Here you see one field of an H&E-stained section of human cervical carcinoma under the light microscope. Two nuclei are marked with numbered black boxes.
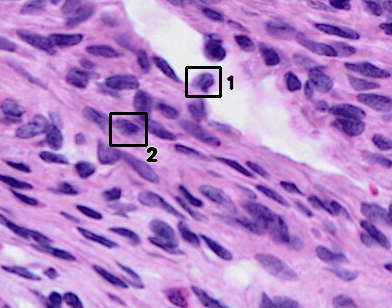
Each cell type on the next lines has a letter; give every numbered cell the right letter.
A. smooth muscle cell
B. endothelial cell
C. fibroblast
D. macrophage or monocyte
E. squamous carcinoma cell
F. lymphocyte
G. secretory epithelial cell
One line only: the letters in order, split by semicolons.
F; C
